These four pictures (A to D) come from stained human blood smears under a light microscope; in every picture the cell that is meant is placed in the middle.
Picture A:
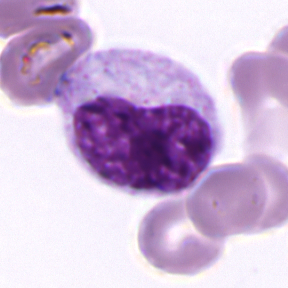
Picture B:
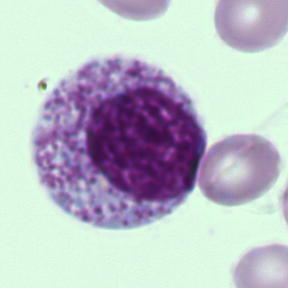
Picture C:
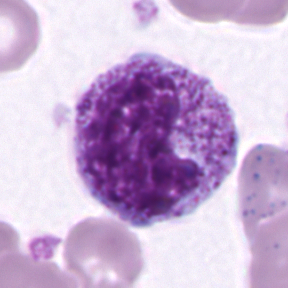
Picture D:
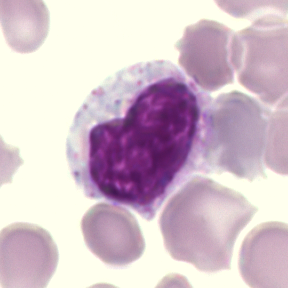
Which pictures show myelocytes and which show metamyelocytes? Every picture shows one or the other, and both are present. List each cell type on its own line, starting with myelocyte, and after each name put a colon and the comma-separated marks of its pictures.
myelocyte: B
metamyelocyte: A, C, D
